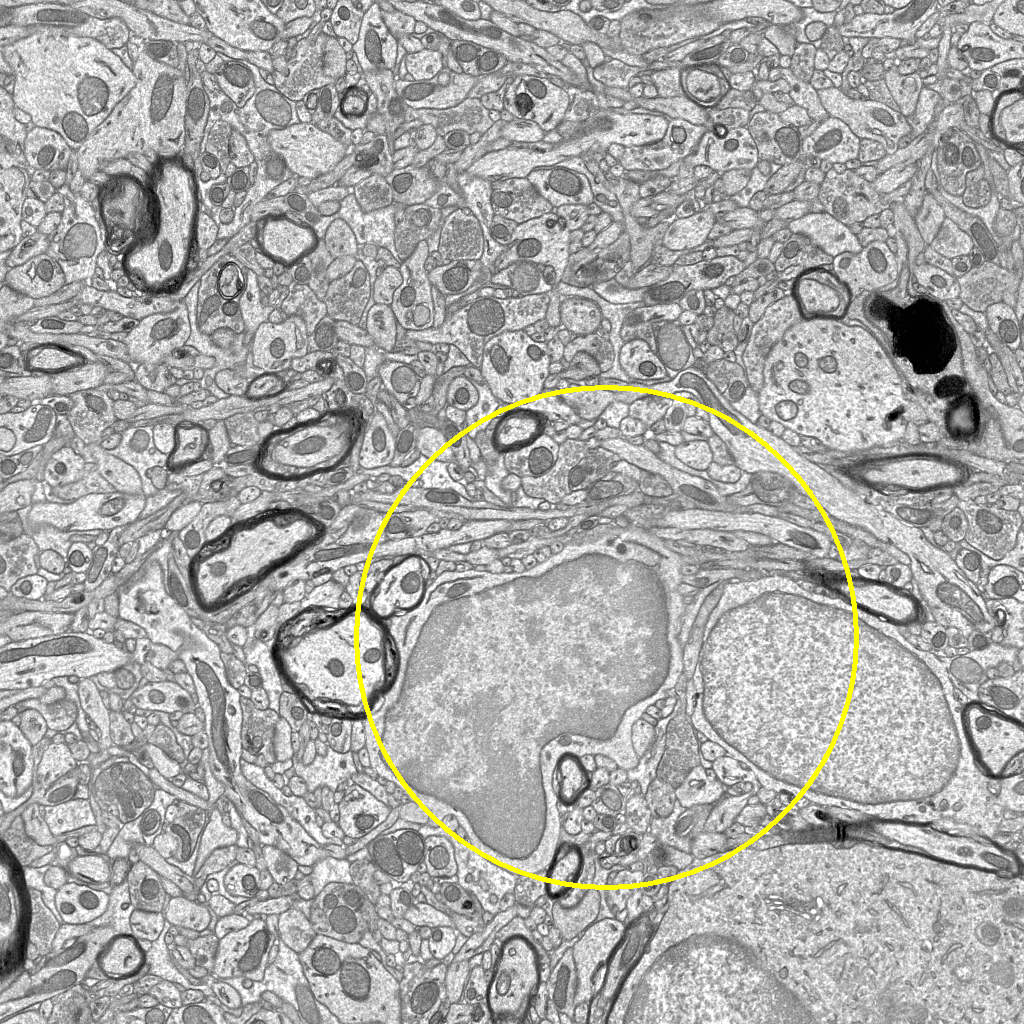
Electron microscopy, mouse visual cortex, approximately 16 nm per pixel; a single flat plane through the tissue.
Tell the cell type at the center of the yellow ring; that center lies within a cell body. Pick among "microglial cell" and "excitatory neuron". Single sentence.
The ring's center lies in the body of a microglial cell.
